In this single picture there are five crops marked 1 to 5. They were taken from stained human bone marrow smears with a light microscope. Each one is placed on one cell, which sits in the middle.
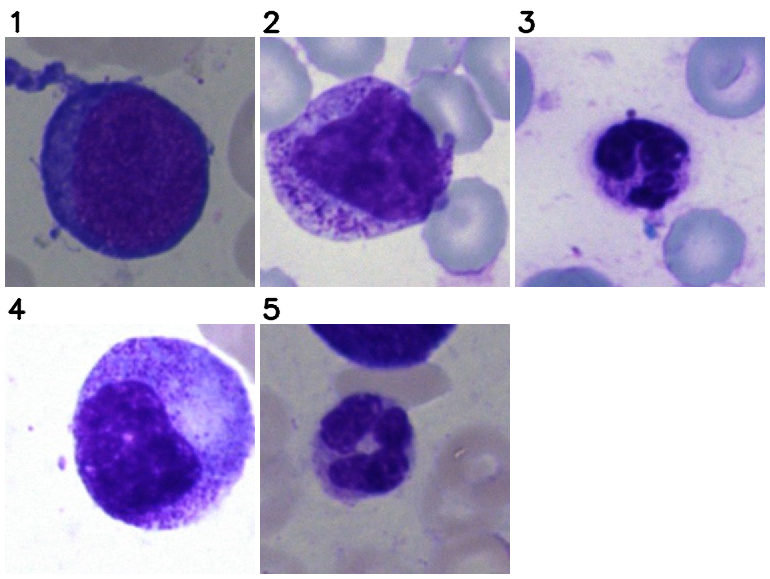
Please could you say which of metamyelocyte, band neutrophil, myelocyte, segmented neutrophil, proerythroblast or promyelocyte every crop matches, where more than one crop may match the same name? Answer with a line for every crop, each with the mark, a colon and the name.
1: proerythroblast
2: myelocyte
3: segmented neutrophil
4: metamyelocyte
5: segmented neutrophil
